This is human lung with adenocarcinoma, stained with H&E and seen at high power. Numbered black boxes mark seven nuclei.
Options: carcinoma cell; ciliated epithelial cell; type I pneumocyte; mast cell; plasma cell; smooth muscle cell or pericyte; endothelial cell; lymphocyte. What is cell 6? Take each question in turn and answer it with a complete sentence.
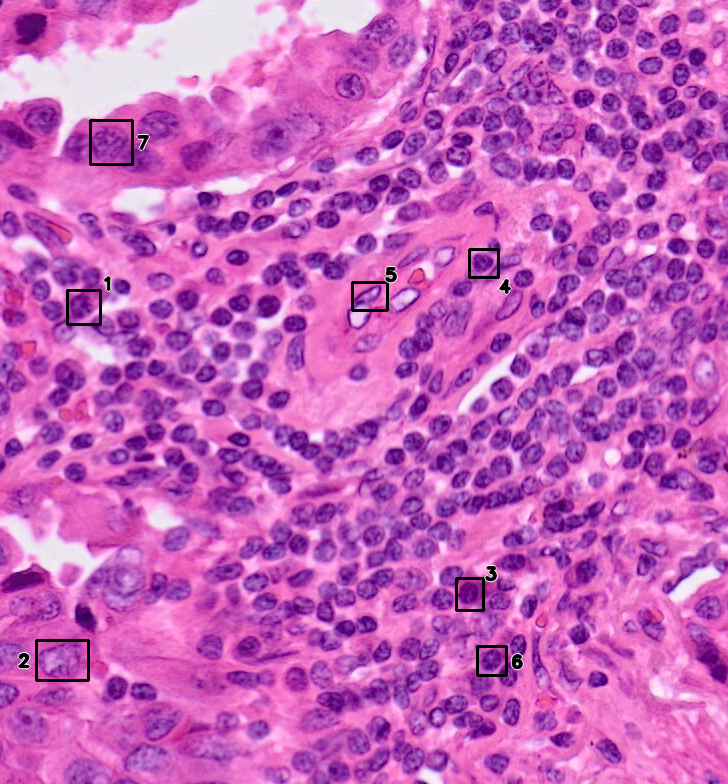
Of the numbered cells, the one labelled 6 is a plasma cell.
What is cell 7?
The numbered cell 7 in this field is a carcinoma cell.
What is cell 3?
In this section, the cell tagged 3 is a plasma cell.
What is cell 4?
The nucleus labelled 4 belongs to a lymphocyte.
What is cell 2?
The cell tagged with 2 in this tissue section is a carcinoma cell.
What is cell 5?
In this section, the cell tagged 5 is an endothelial cell.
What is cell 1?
Number 1 among the marked cells is a plasma cell.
